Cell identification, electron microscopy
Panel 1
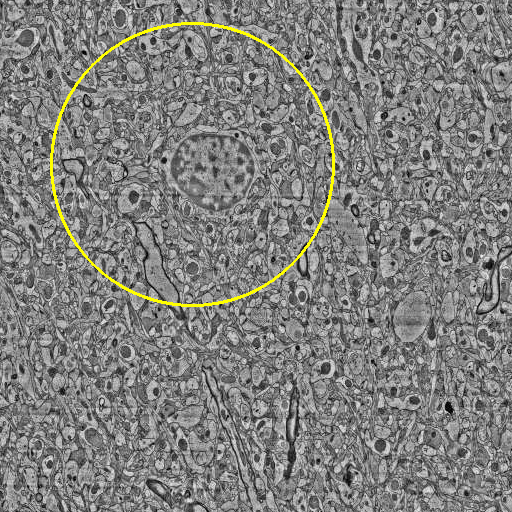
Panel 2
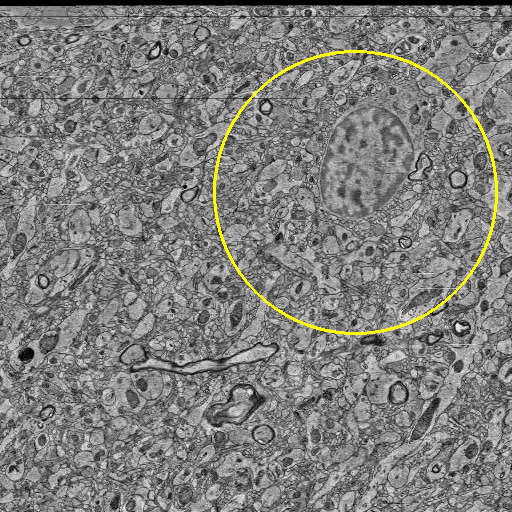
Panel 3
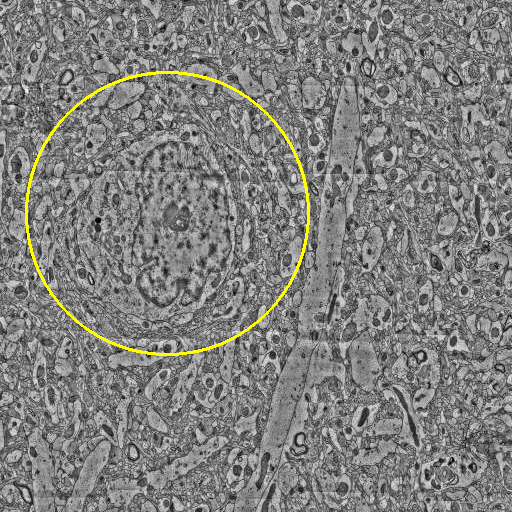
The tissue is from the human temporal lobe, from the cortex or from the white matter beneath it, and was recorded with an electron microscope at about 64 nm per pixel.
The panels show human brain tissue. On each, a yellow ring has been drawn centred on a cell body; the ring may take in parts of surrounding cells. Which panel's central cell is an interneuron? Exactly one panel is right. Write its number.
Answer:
3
